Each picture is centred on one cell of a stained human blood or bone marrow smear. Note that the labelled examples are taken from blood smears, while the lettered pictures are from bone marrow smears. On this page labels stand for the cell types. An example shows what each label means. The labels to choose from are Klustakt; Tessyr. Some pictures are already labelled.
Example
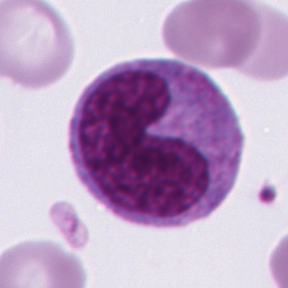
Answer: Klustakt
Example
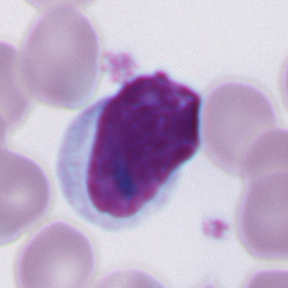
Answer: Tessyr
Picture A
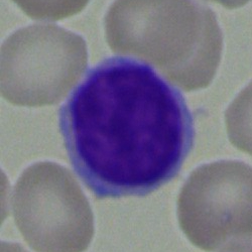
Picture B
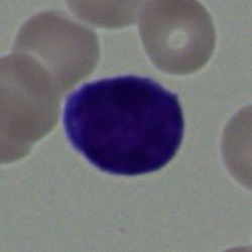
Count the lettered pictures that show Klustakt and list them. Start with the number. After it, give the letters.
0, none of them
